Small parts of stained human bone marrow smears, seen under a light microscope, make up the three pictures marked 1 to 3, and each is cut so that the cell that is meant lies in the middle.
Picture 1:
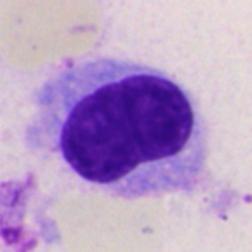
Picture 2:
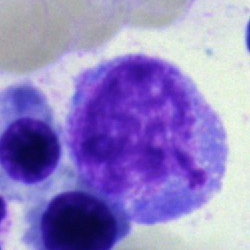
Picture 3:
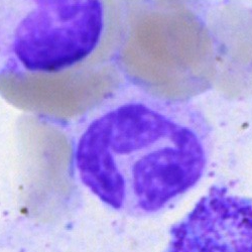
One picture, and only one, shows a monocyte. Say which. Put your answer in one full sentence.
The cell in picture 2 is the monocyte.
